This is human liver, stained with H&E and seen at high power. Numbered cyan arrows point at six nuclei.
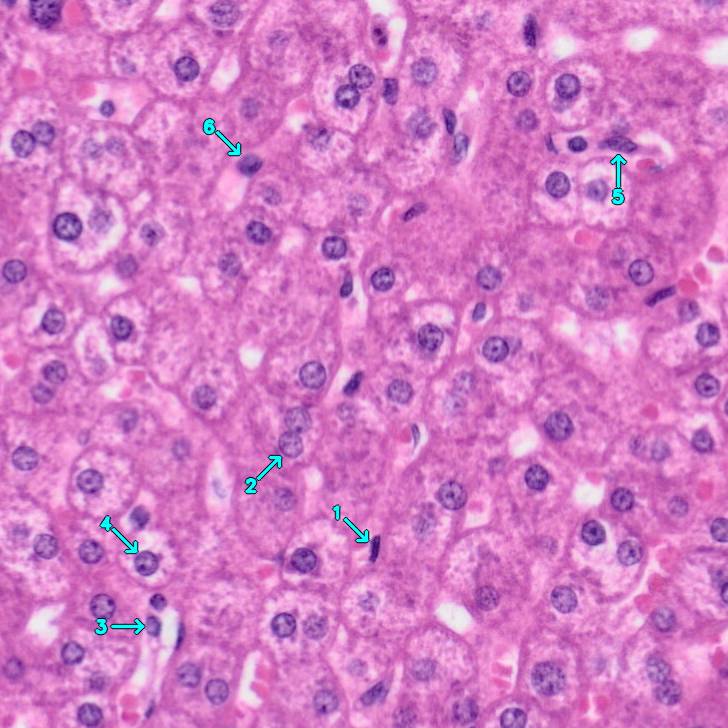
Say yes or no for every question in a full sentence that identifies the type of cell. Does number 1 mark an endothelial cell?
Yes, the cell at the mark numbered 1 is an endothelial cell.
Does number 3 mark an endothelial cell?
No, cell number 3 is a Kupffer cell; it is not an endothelial cell.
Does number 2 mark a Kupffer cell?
No, the cell that carries number 2 is a hepatocyte, not a Kupffer cell.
